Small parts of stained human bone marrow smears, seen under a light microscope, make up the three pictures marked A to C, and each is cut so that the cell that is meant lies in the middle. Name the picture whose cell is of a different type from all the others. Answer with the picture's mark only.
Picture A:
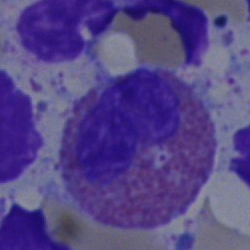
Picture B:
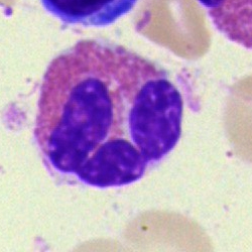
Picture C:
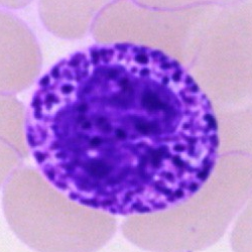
C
